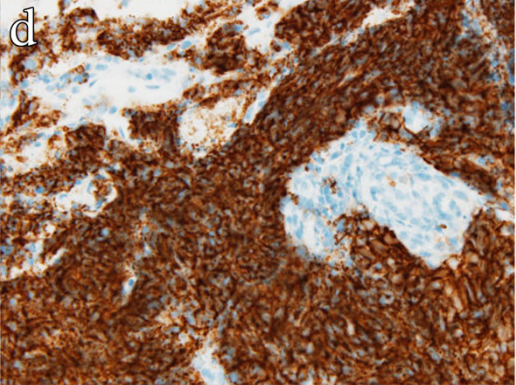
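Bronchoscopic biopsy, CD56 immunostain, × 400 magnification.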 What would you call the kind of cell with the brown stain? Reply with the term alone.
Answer: Densely packed small tumor cells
